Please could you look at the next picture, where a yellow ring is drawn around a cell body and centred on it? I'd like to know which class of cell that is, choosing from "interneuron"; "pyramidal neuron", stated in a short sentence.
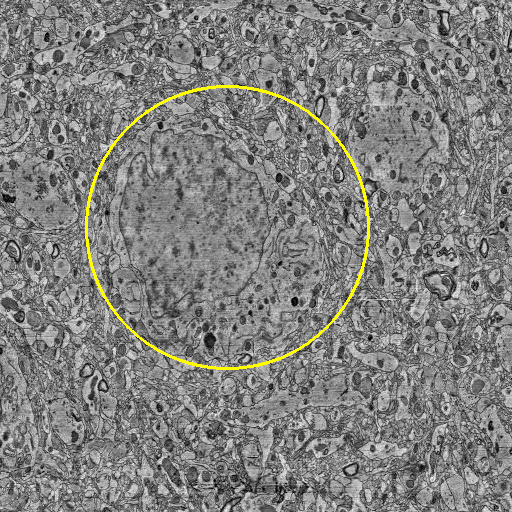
The ring's centre lies on an interneuron.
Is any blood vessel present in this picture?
No.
